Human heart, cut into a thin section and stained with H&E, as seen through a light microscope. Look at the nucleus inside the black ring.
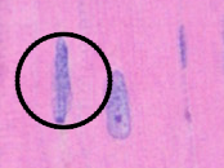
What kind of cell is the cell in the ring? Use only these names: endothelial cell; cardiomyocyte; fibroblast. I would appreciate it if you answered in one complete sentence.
Right, so the cell in the ring is a cardiomyocyte, to answer that.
